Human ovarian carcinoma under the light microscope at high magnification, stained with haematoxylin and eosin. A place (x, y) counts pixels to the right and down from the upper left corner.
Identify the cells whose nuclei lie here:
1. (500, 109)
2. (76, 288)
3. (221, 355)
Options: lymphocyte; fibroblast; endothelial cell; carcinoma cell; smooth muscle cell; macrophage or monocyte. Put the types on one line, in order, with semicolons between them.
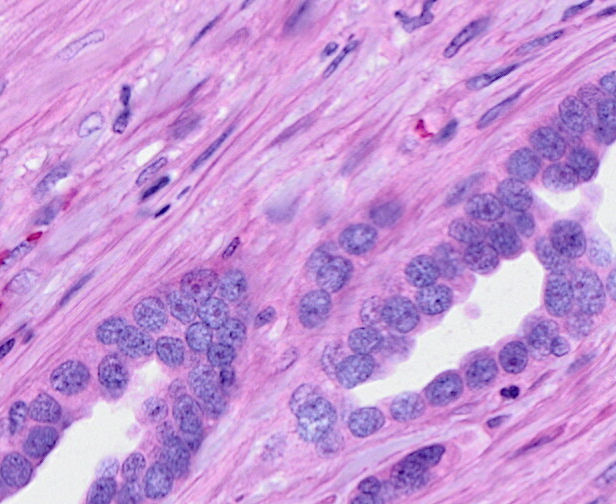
fibroblast; fibroblast; carcinoma cell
